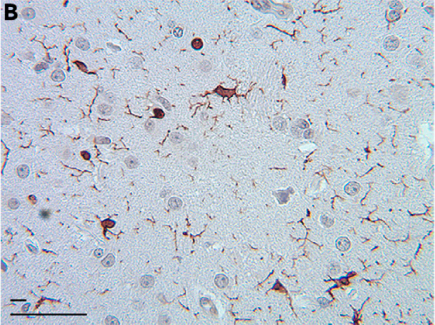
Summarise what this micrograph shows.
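This is brain gray matter in which brown-stained microglia are scattered among neurons. The neurons appear as large cells with pale, round blue nuclei, while the microglia have small dark brown bodies from which thin, branching brown processes radiate into the surrounding neuropil.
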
